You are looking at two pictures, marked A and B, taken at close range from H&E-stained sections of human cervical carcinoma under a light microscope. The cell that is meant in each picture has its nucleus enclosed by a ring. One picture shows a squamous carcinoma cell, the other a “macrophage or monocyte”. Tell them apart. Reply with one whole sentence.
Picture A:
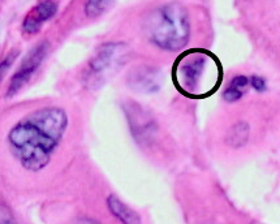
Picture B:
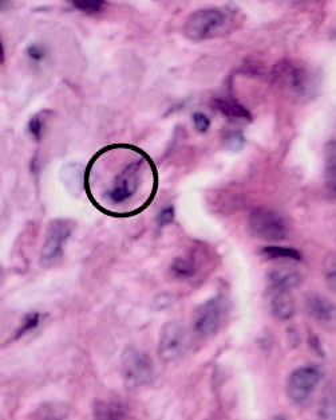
Picture A is of a squamous carcinoma cell, and picture B is of a “macrophage or monocyte”.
